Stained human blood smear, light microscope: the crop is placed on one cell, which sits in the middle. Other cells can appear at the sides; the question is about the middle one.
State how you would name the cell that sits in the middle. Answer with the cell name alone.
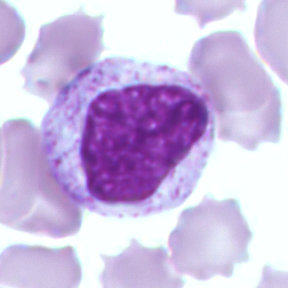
metamyelocyte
